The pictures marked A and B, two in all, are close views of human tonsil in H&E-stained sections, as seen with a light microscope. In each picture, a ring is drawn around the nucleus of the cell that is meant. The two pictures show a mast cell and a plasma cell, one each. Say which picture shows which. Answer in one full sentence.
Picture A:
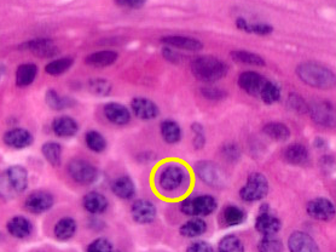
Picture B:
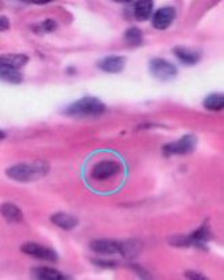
Picture A shows a plasma cell and picture B shows a mast cell.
